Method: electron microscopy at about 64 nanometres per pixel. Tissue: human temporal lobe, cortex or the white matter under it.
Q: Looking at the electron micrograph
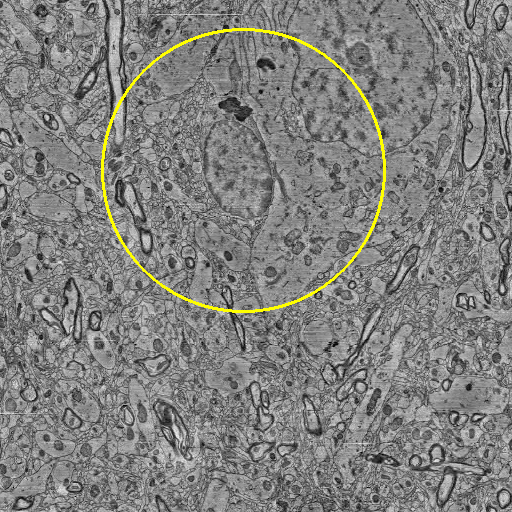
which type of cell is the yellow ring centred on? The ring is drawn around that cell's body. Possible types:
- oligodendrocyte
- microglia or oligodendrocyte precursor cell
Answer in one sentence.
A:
The yellow ring is centred on an oligodendrocyte.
